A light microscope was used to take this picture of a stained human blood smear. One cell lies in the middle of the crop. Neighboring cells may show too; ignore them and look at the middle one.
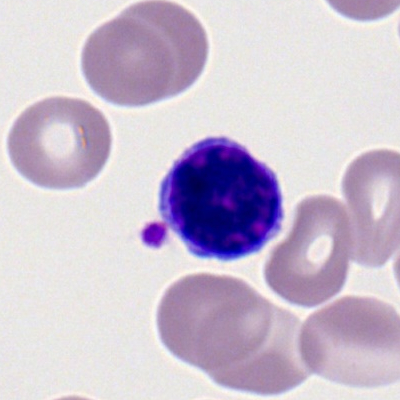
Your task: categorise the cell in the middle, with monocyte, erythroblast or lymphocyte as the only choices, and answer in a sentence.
This crop is built around a lymphocyte at its centre.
